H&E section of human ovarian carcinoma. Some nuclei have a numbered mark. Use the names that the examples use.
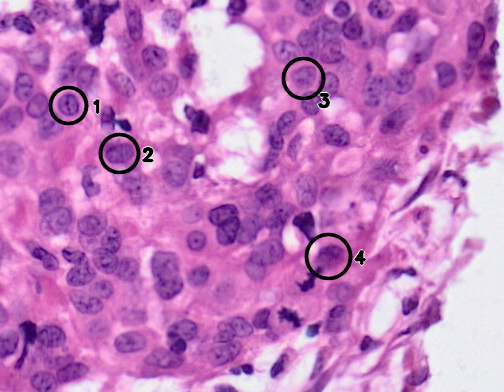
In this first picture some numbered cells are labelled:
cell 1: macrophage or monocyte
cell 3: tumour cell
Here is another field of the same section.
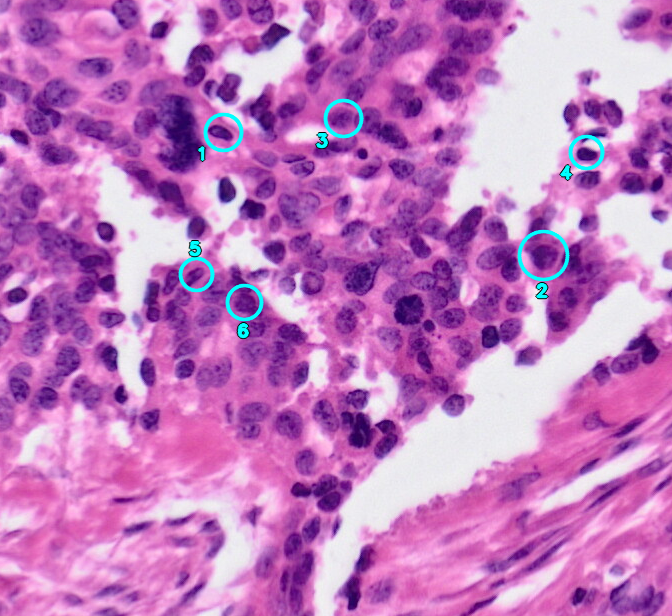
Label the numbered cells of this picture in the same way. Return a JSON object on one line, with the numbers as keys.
{"1": "macrophage or monocyte", "2": "tumour cell", "3": "tumour cell", "4": "macrophage or monocyte", "5": "macrophage or monocyte", "6": "tumour cell"}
